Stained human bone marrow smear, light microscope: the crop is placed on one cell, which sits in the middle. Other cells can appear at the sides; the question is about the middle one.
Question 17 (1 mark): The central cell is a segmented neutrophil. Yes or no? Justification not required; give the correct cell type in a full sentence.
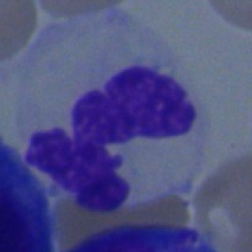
Yes, the cell in the exact middle is a segmented neutrophil.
